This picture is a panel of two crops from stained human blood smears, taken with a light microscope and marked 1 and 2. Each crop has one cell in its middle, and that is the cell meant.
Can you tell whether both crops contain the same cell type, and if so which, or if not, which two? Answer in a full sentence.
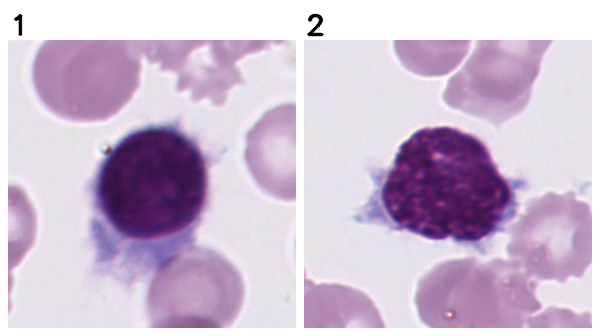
Yes, the crops both have hairy cells in the middle.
